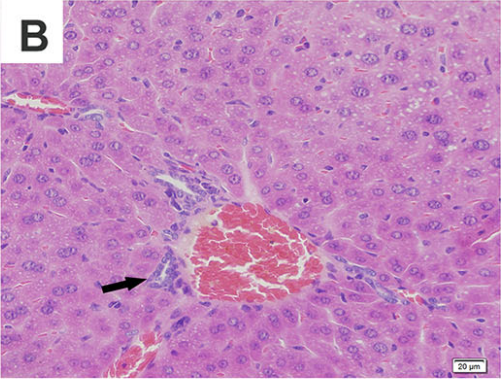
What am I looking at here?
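Liver tissue with a vessel filled with tightly packed red blood cells, surrounded by hepatocytes with pink cytoplasm and round nuclei. Beside the vessel lies a small cluster of cells with dark purple nuclei, an inflammatory cell infiltration. Further vessels at the edges also contain red blood cells.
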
